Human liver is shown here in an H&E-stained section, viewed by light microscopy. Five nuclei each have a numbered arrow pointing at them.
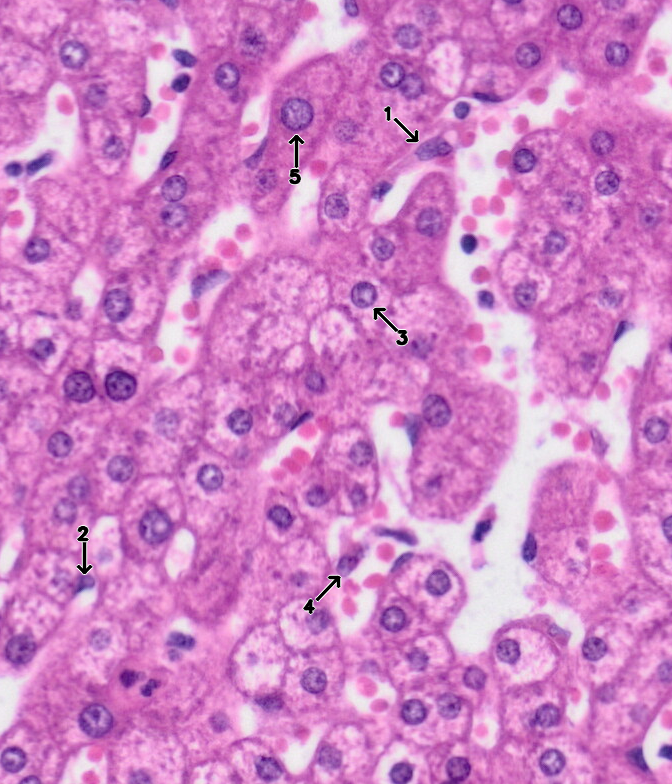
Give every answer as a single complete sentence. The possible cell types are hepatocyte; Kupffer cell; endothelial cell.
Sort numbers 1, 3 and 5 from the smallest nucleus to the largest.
The order from the smallest nucleus to the largest is 1, 3, 5.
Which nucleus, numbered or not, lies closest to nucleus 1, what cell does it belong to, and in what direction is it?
A Kupffer cell lies closest, to the right of nucleus 1.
